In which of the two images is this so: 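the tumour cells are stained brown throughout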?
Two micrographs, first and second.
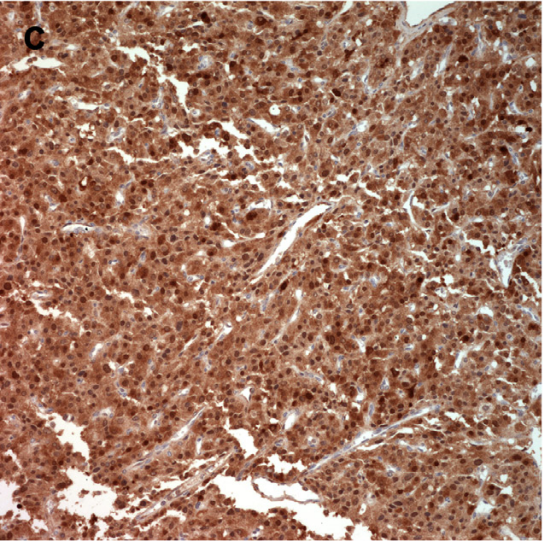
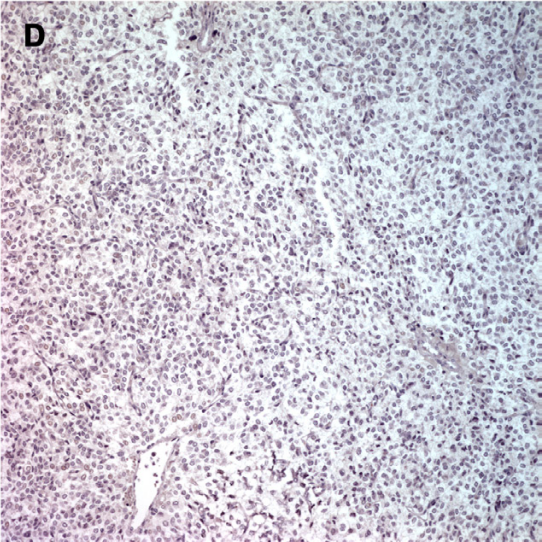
The first image.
